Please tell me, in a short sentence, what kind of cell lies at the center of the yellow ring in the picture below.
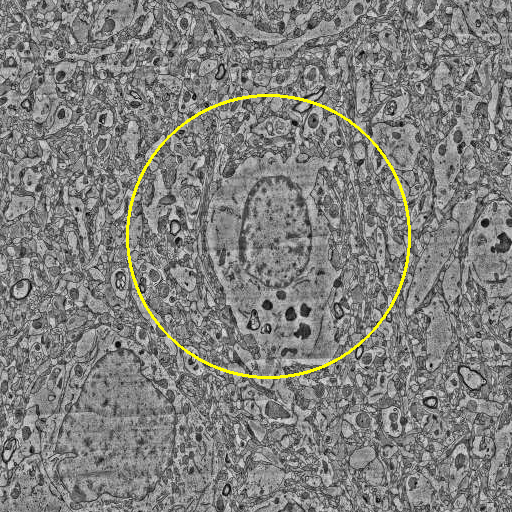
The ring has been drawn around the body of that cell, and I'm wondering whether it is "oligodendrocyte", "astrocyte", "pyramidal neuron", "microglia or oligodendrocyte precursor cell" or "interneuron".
The cell at the center of the ring is an astrocyte.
